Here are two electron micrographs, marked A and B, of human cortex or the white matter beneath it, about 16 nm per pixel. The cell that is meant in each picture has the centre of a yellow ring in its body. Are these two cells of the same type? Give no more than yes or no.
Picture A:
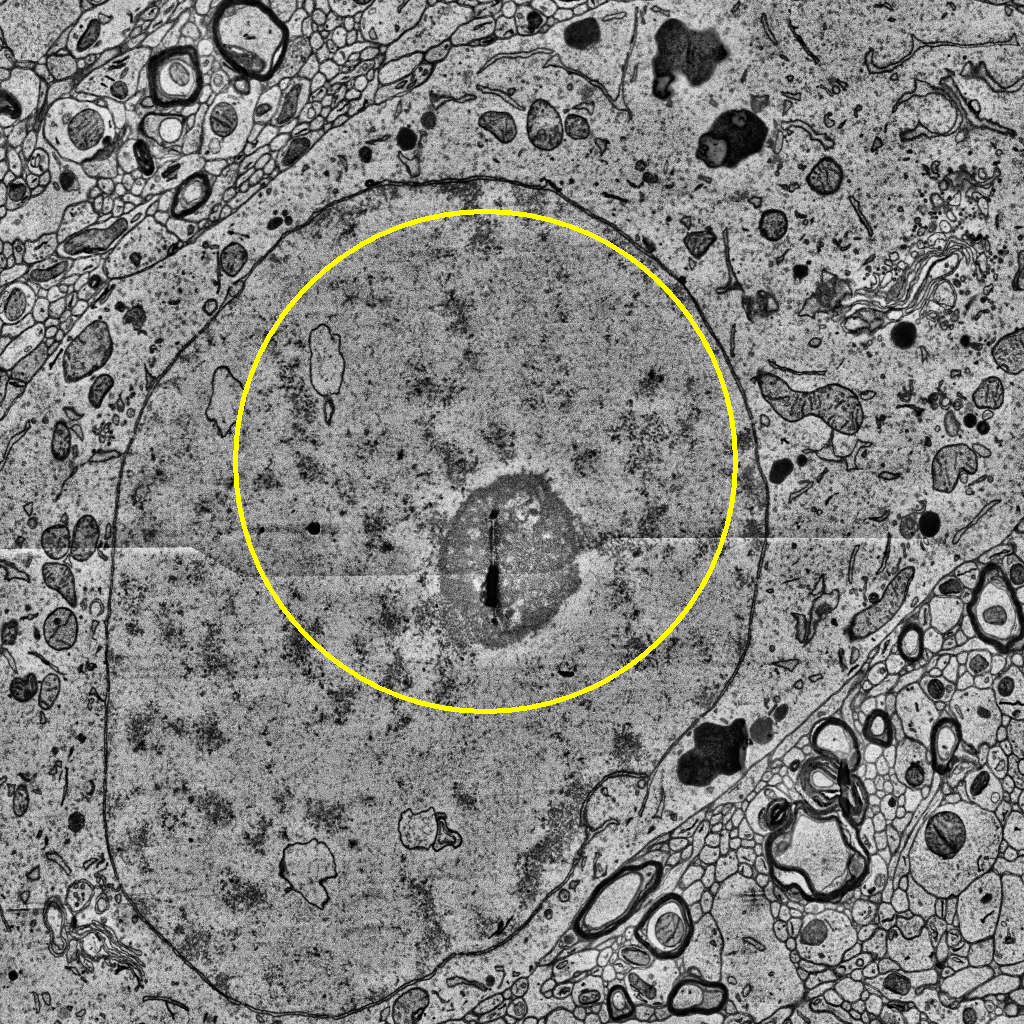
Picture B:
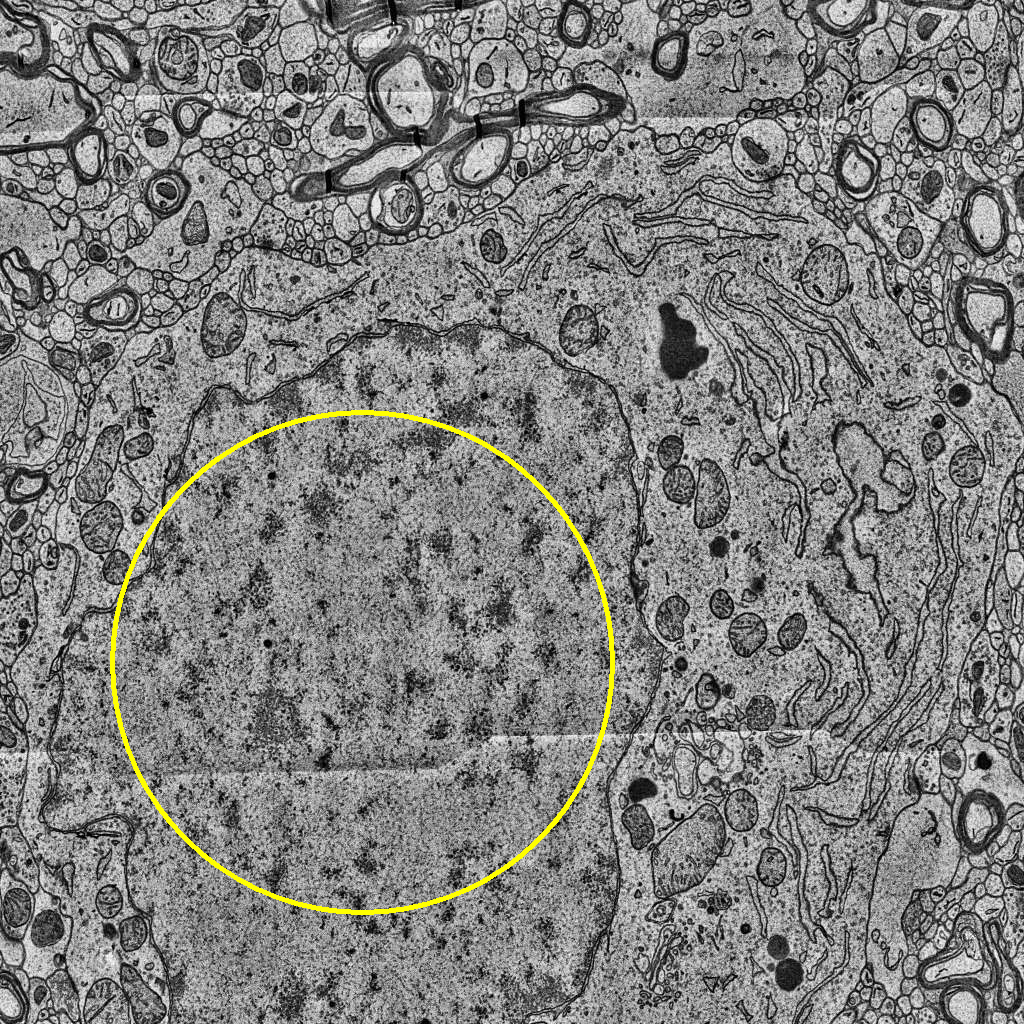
no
